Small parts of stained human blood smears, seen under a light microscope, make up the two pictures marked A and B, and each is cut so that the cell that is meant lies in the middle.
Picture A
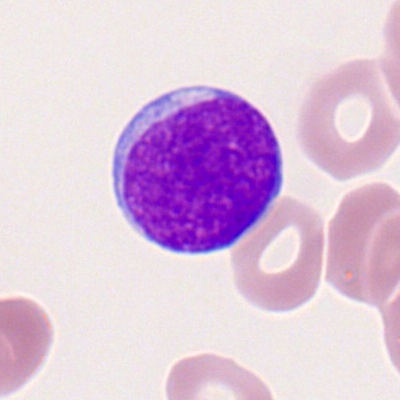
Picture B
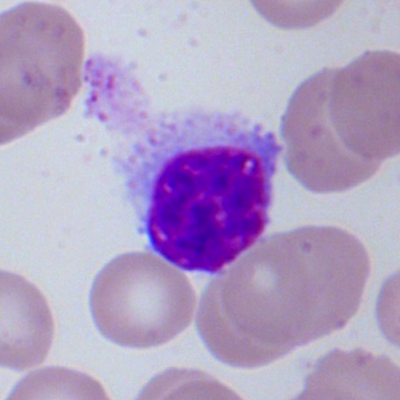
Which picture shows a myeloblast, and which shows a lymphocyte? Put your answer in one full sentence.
Picture A shows a myeloblast and picture B shows a lymphocyte.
